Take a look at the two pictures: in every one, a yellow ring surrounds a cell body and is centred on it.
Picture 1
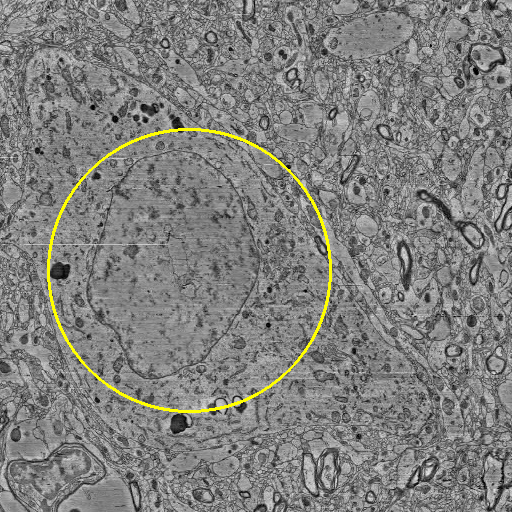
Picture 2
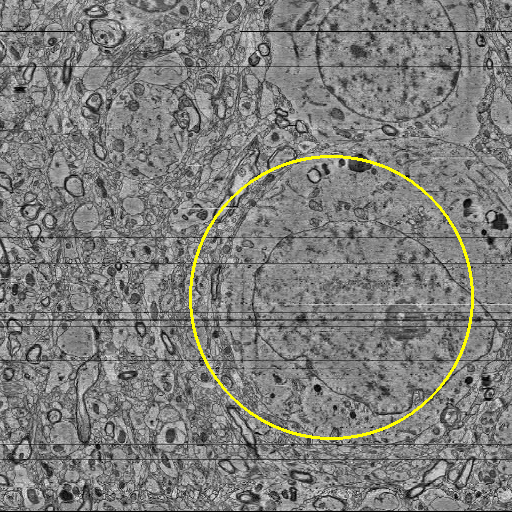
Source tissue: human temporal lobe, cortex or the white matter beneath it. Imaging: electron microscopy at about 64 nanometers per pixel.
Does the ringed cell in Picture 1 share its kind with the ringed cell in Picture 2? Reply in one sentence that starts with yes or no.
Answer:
Yes, the two centred cells, one per picture, are of one kind.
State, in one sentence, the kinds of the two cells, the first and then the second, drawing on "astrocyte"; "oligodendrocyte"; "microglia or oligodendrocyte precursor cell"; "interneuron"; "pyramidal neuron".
Each cell, in the first picture and the second, is a pyramidal neuron.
